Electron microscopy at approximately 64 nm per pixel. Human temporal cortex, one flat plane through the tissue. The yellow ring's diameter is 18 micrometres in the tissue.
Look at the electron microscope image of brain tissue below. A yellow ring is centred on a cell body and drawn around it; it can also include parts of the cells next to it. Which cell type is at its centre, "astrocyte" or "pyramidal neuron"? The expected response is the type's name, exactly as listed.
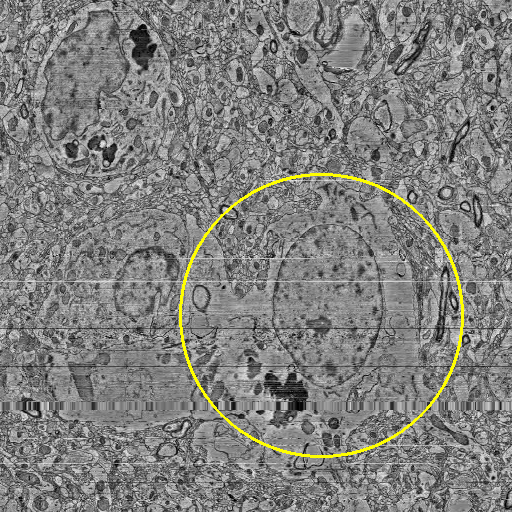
astrocyte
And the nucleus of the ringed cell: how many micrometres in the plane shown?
Roughly 11 by 7 micrometers, clearly longer than it is wide in this plane.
